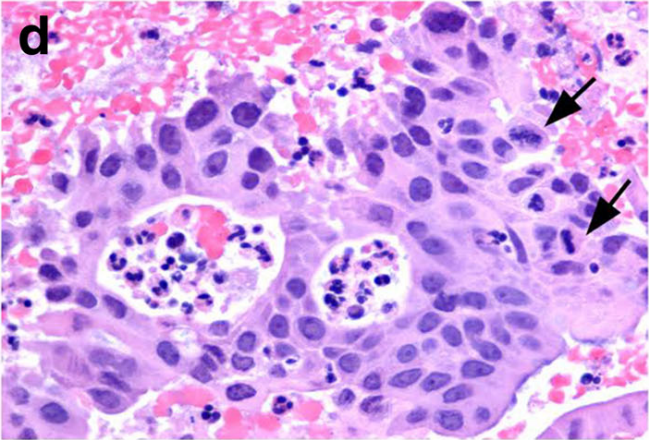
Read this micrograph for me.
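Sheet of markedly atypical epithelial cells arranged around round punched-out spaces, a cribriform pattern. Several cells show mitotic figures with clumped dark chromatin. The round spaces contain clusters of neutrophils with lobed nuclei and some debris. Abundant red blood cells fill the surroundings, with scattered neutrophils among them.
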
